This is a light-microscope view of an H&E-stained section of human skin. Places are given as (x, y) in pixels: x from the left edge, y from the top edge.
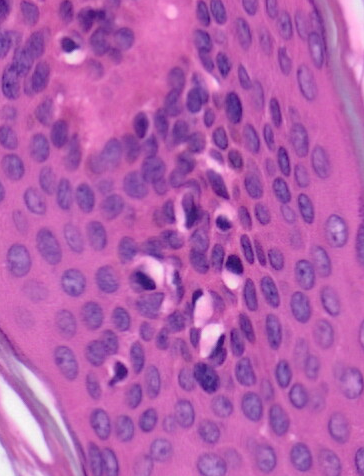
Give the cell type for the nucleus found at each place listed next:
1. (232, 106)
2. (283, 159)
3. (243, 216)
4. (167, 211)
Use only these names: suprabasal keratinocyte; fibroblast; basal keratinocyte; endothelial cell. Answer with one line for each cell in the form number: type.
1: basal keratinocyte
2: suprabasal keratinocyte
3: basal keratinocyte
4: basal keratinocyte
